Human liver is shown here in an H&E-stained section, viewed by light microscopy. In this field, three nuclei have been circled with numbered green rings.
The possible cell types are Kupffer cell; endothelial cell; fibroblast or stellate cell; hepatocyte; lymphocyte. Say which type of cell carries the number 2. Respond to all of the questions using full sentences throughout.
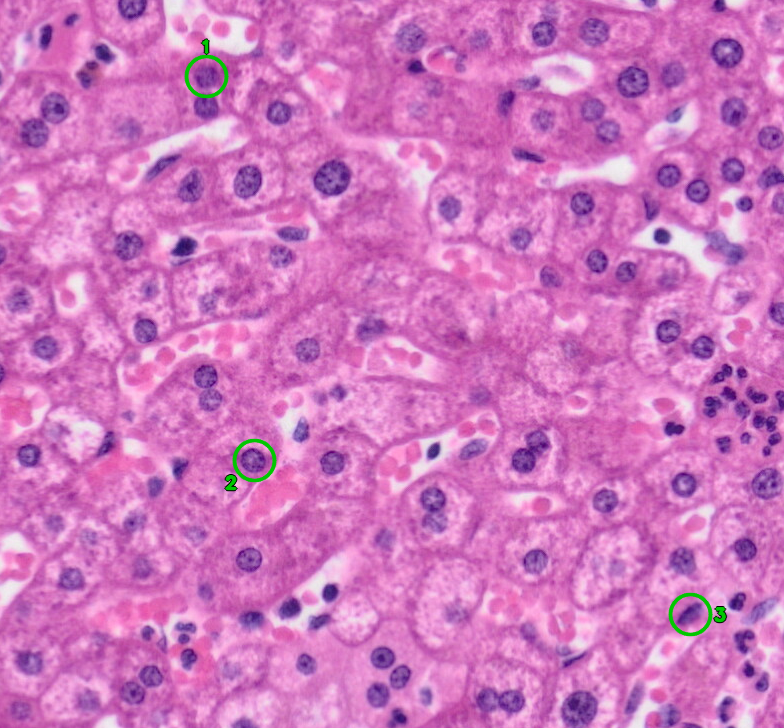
Cell 2 of the marked set is a hepatocyte.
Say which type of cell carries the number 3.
Regarding cell 3, this one is a fibroblast or stellate cell.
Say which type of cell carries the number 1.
Recognised here as a hepatocyte is the cell numbered 1.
